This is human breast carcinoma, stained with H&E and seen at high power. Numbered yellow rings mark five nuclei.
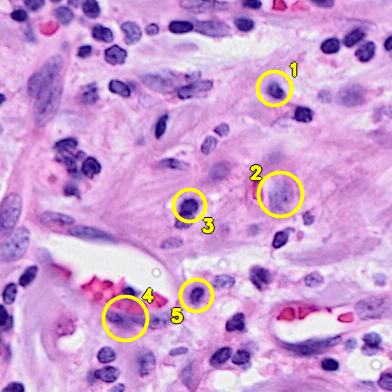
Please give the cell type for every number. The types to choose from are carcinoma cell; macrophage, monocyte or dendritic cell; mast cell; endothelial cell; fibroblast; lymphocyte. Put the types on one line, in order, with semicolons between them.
lymphocyte; endothelial cell; lymphocyte; endothelial cell; lymphocyte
